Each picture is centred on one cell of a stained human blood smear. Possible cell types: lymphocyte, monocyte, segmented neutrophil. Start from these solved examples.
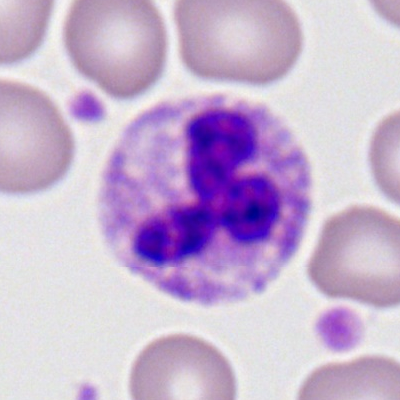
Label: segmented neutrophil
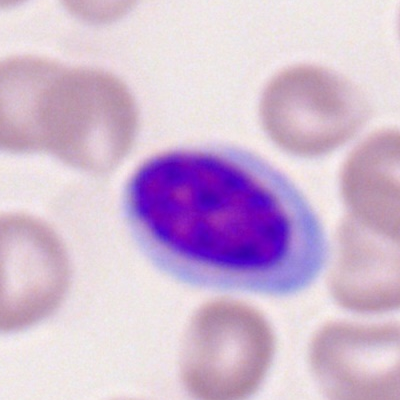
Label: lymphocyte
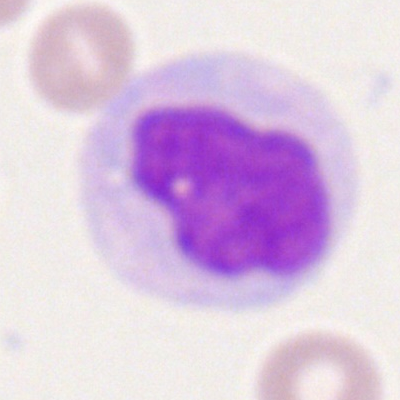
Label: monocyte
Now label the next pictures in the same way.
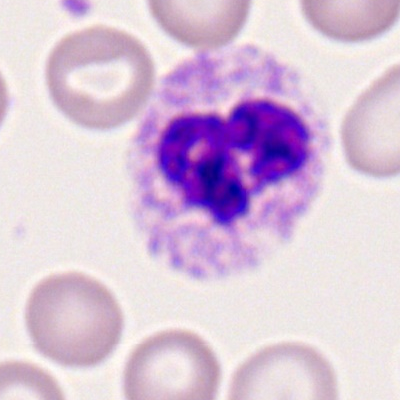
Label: segmented neutrophil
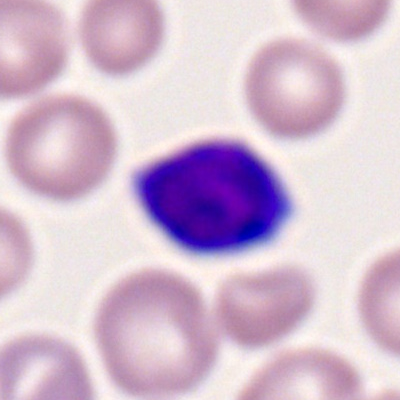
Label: lymphocyte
